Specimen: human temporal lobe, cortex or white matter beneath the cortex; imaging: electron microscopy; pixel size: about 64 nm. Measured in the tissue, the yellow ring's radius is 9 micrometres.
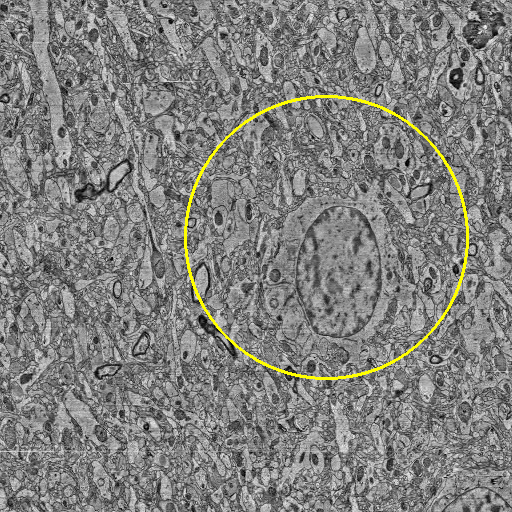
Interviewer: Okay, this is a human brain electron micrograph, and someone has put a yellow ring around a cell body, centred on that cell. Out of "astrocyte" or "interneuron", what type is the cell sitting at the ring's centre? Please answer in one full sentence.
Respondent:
The cell at the centre of the yellow ring in this picture is an astrocyte.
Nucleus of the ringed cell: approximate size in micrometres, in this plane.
About 9 by 5 micrometres, the nucleus being clearly longer than it is wide in this plane.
